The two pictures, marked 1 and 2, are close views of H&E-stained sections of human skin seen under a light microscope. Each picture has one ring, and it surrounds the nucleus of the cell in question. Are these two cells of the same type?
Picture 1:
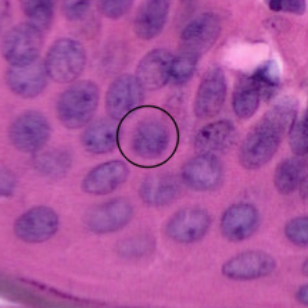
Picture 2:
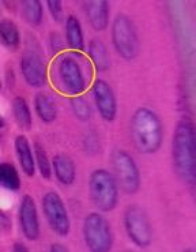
yes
